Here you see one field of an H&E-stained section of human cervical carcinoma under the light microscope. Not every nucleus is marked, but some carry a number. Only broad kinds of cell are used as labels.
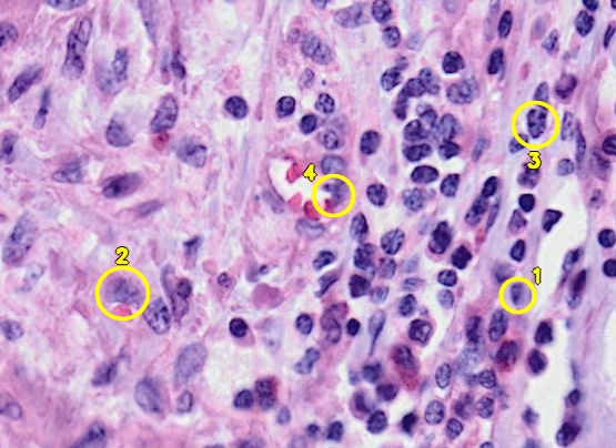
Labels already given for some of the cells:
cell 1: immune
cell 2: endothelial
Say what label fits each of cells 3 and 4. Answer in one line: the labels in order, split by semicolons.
immune; endothelial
